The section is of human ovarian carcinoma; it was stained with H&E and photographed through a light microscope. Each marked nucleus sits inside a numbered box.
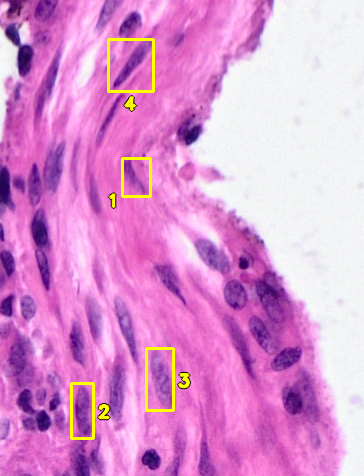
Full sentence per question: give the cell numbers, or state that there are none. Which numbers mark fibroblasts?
The cells which carry the numbers 1, 3 and 4 are fibroblasts.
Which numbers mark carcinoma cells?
Across the numbered cells, there are no carcinoma cells.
